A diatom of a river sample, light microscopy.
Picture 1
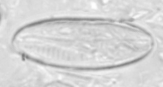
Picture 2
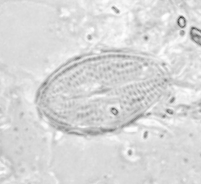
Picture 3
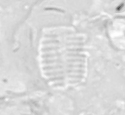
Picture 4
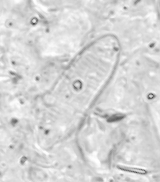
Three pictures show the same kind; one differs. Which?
Picture 2: Cocconeis, while the others are Achnanthidium.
